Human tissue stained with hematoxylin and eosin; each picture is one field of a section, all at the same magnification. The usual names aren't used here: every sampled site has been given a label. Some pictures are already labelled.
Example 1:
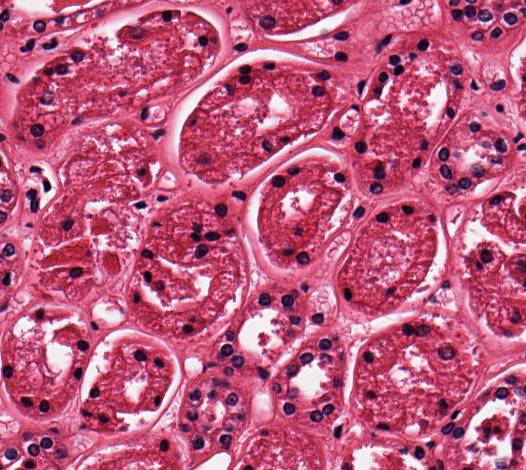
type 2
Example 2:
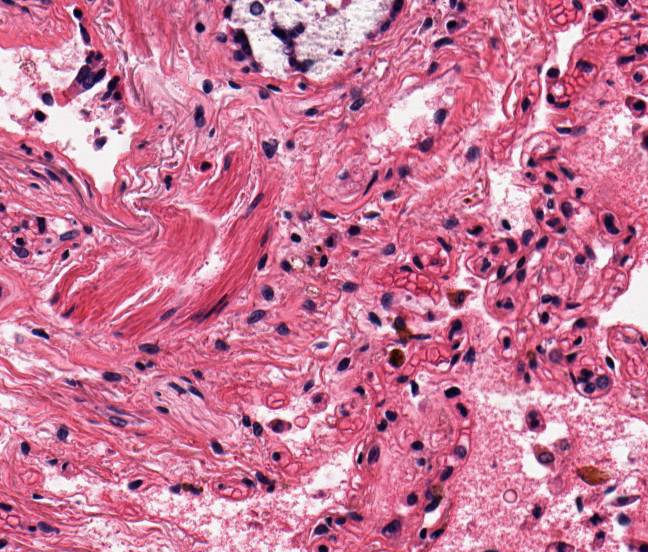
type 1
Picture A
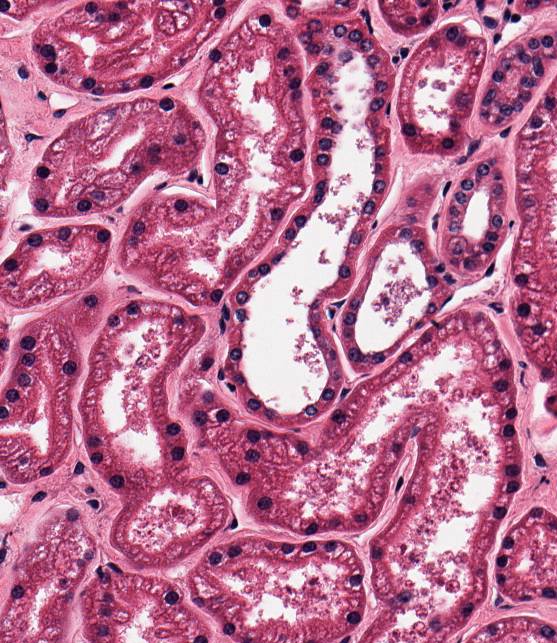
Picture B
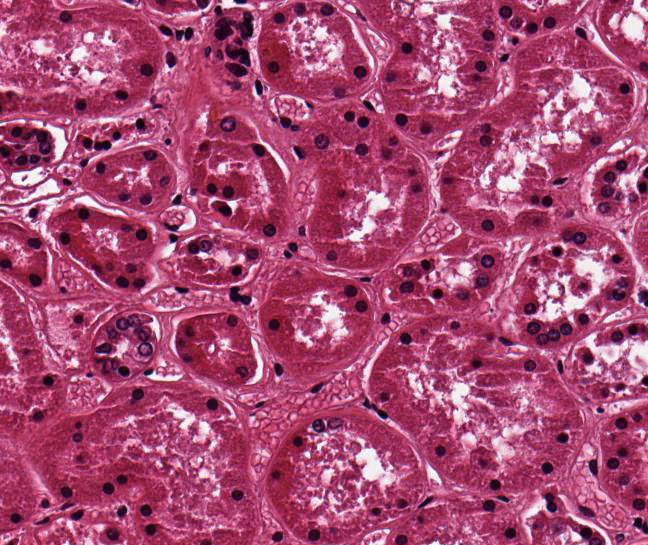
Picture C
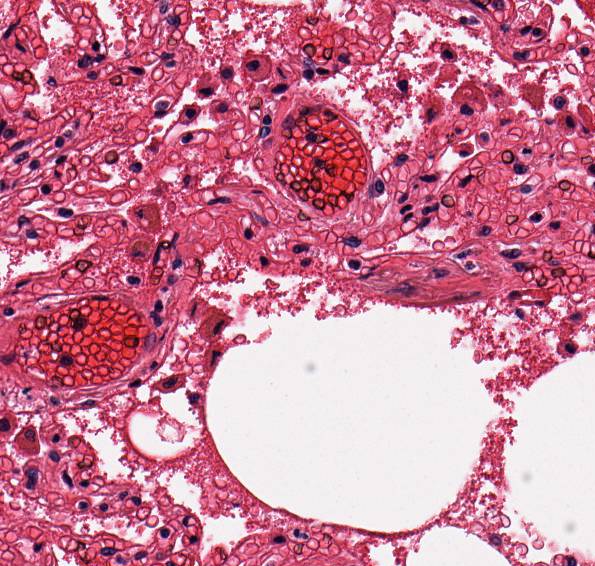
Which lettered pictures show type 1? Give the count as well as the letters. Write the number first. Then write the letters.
Count: 1 (C)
